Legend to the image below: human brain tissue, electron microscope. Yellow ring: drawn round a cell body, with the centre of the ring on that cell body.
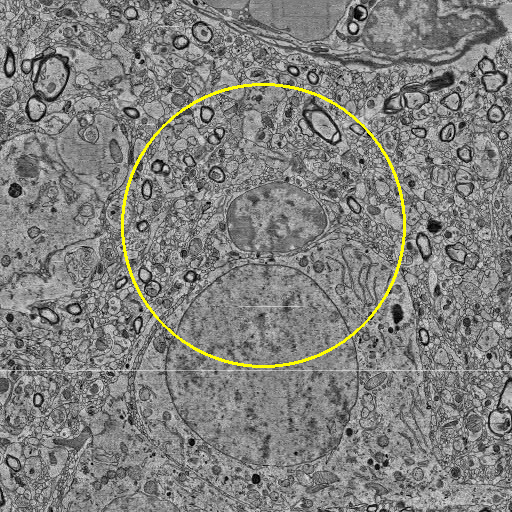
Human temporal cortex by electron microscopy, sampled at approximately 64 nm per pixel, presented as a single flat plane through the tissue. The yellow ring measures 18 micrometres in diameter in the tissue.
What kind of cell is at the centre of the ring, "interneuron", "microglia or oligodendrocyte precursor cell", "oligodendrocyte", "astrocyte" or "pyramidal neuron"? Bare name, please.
microglia or oligodendrocyte precursor cell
